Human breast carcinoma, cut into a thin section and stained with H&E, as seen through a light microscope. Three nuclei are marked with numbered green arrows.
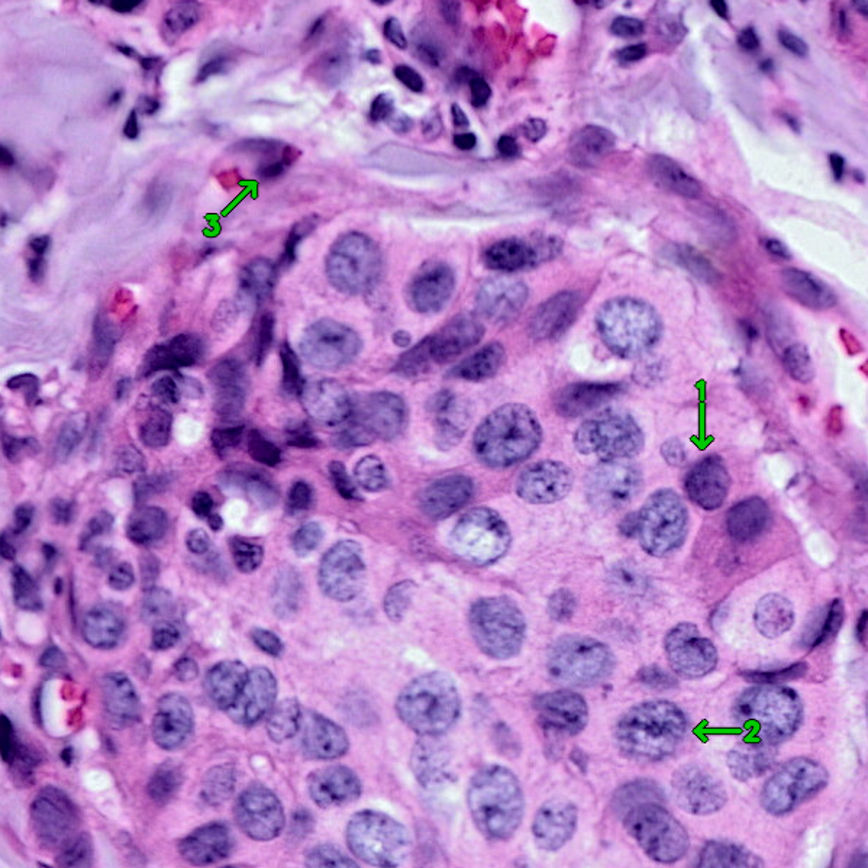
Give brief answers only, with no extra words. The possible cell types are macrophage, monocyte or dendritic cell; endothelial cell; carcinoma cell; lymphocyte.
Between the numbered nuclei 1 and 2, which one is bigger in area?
2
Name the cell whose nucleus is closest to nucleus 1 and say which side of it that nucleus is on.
a carcinoma cell, below and to the right of nucleus 1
